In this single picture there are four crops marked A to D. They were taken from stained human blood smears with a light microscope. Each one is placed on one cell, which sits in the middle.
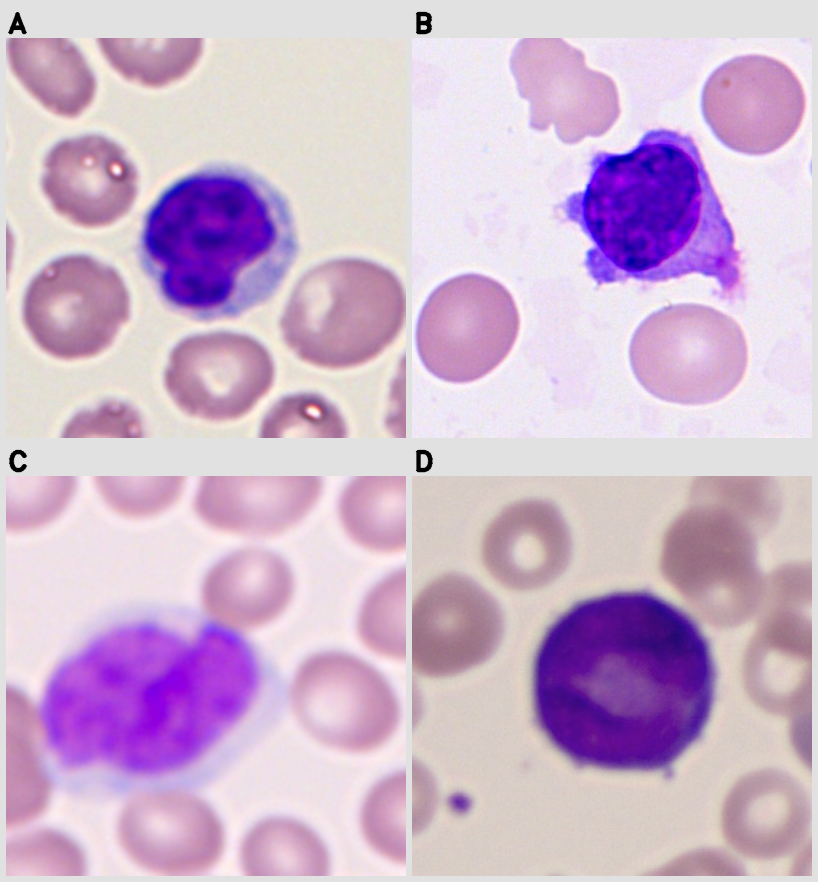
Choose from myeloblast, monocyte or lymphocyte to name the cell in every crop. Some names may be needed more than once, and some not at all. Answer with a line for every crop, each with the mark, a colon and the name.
A: lymphocyte
B: lymphocyte
C: monocyte
D: myeloblast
